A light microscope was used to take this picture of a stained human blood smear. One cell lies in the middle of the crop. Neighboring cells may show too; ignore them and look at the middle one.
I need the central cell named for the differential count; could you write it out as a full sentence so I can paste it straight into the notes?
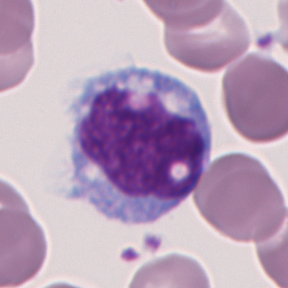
The centrally placed cell is classified as a monocyte.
